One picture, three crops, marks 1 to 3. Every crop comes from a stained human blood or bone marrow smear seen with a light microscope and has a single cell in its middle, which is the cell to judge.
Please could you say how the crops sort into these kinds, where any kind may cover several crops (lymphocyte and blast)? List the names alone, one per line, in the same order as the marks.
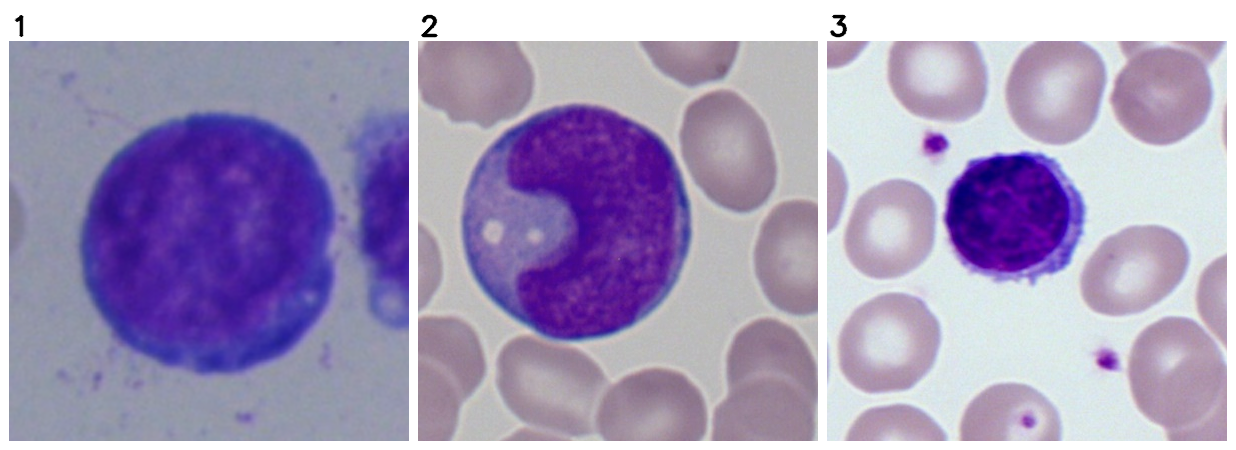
blast
blast
lymphocyte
